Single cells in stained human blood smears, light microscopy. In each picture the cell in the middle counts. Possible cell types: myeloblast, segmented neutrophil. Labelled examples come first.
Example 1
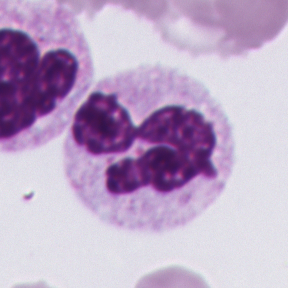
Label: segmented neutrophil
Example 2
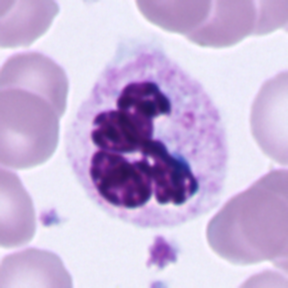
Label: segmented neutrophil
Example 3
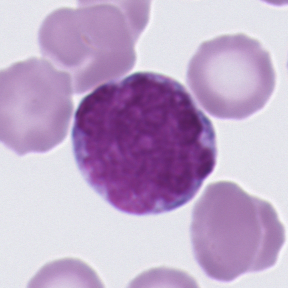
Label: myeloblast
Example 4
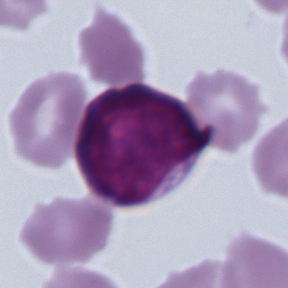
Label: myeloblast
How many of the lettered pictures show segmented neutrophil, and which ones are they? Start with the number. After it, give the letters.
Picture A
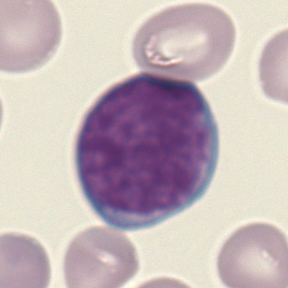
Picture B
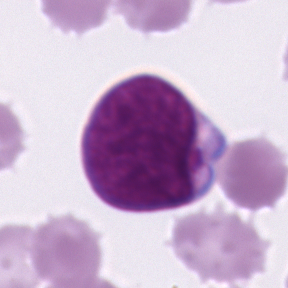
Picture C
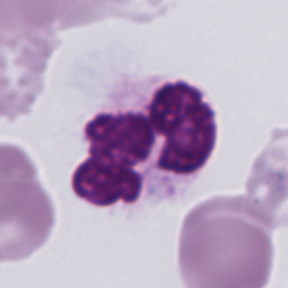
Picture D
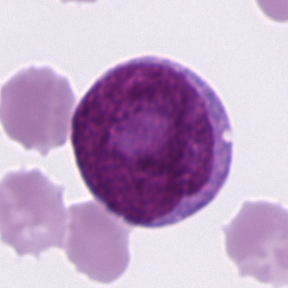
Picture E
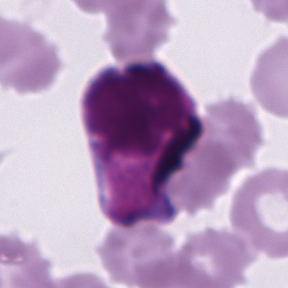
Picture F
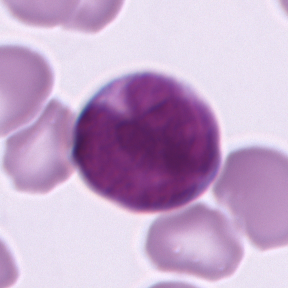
Count: 1 (C)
